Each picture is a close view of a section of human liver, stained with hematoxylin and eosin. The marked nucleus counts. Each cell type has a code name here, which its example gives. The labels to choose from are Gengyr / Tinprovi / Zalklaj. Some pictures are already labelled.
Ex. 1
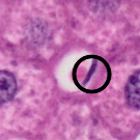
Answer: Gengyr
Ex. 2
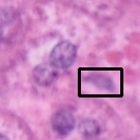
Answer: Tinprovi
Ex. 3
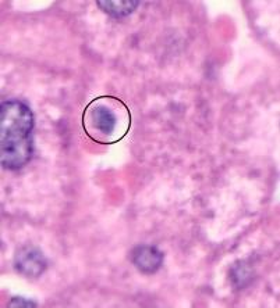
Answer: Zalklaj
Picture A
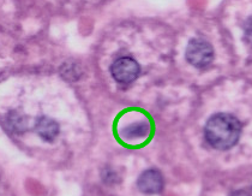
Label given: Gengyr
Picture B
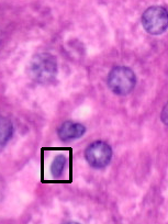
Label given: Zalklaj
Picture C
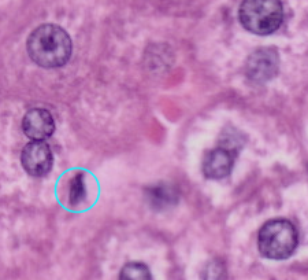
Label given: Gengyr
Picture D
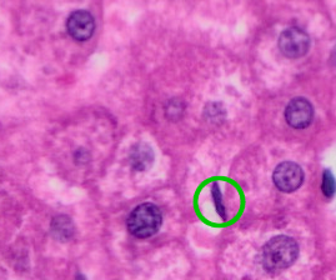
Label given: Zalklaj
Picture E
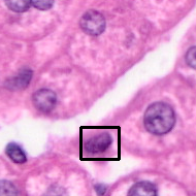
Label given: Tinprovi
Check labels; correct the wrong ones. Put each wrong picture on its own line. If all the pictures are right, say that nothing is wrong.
Wrong: A (Gengyr); correct: Tinprovi
Wrong: D (Zalklaj); correct: Gengyr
